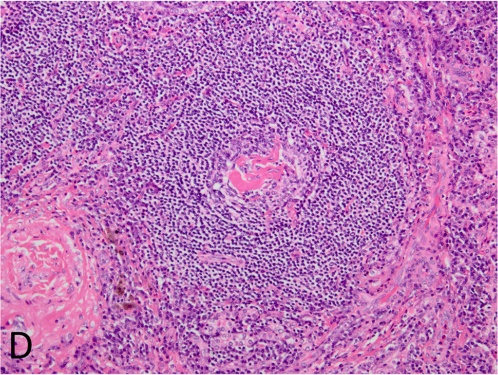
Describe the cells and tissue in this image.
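This view shows a lymphoid follicle made of densely packed small dark lymphocytes, with a small regressed germinal center at its middle rather than a large pale one. A blood vessel runs into this center, and its wall is thickened by glassy pink hyaline material. At the margins lies looser tissue with more mixed inflammatory cells and a little brown pigment.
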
